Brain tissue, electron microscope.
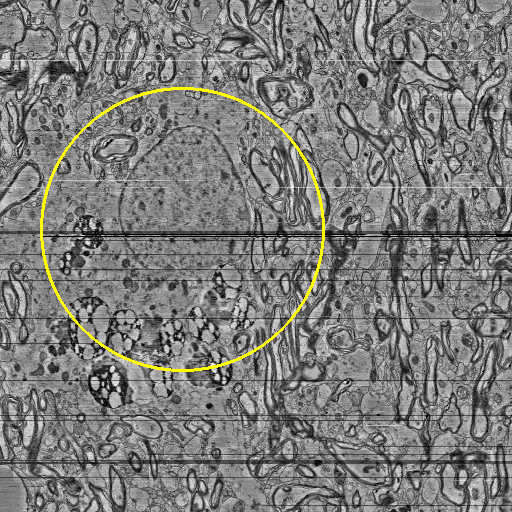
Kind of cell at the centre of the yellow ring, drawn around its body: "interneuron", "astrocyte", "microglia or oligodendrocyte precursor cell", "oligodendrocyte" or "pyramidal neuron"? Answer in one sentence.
The ring's centre falls on an astrocyte.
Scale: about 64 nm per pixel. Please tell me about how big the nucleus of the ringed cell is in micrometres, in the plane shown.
In this plane the nucleus is about 10 micrometres by 8.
